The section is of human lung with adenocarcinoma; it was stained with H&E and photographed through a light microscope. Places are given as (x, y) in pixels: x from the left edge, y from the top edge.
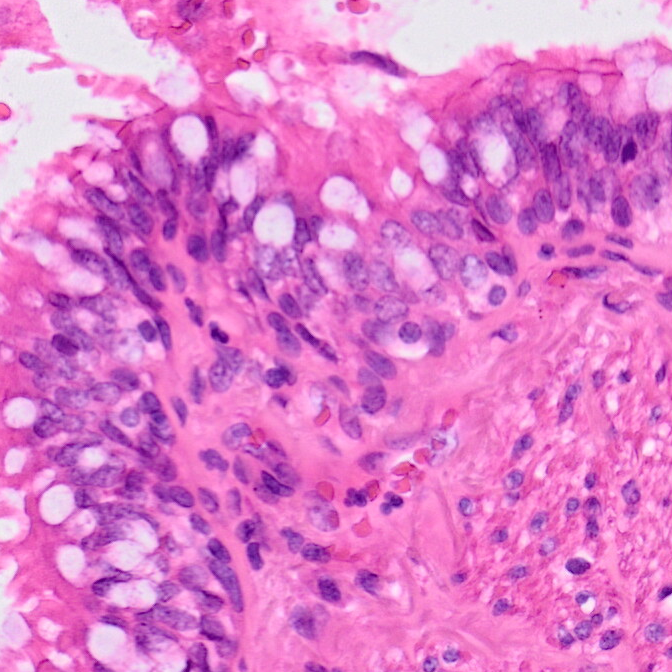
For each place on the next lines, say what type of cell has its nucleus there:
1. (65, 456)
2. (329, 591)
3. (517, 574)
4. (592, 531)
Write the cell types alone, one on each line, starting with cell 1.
ciliated epithelial cell
plasma cell
smooth muscle cell or pericyte
smooth muscle cell or pericyte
